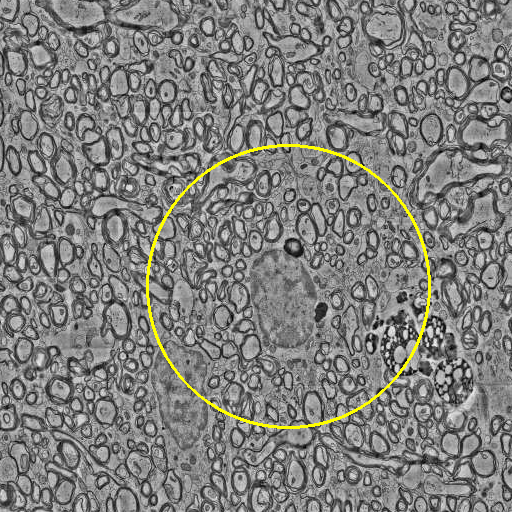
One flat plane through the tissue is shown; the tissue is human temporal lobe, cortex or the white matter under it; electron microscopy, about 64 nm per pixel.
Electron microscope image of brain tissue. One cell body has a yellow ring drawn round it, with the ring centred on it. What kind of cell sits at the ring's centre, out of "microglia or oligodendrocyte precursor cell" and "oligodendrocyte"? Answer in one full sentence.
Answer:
It is an oligodendrocyte whose cell body sits at the centre of the yellow ring.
